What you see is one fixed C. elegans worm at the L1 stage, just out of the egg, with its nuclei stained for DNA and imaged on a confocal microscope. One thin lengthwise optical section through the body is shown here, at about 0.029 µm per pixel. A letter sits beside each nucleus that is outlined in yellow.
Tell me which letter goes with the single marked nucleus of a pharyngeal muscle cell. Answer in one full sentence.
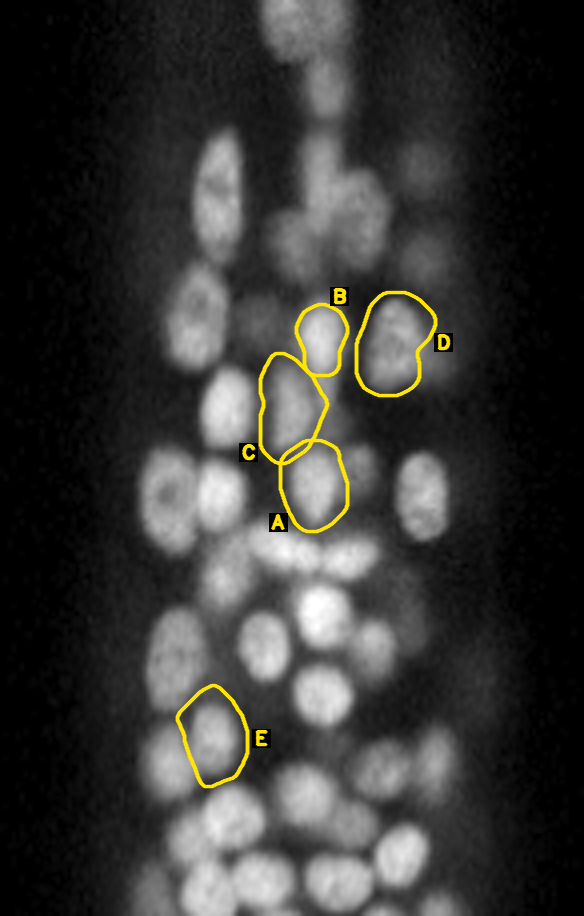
The nucleus of a pharyngeal muscle cell is C.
